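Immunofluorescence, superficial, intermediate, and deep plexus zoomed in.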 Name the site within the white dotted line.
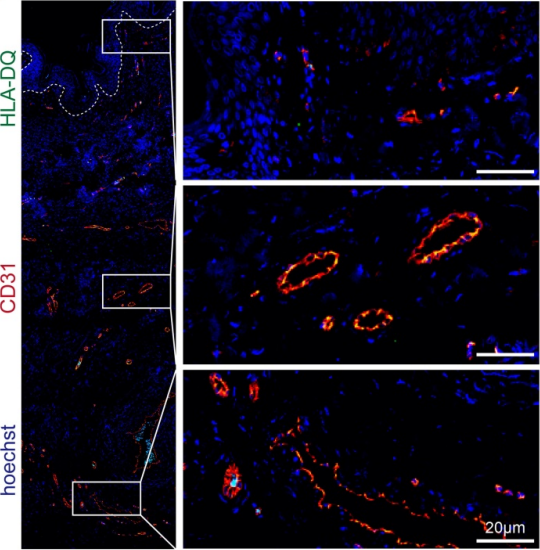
interface between epidermis and dermis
